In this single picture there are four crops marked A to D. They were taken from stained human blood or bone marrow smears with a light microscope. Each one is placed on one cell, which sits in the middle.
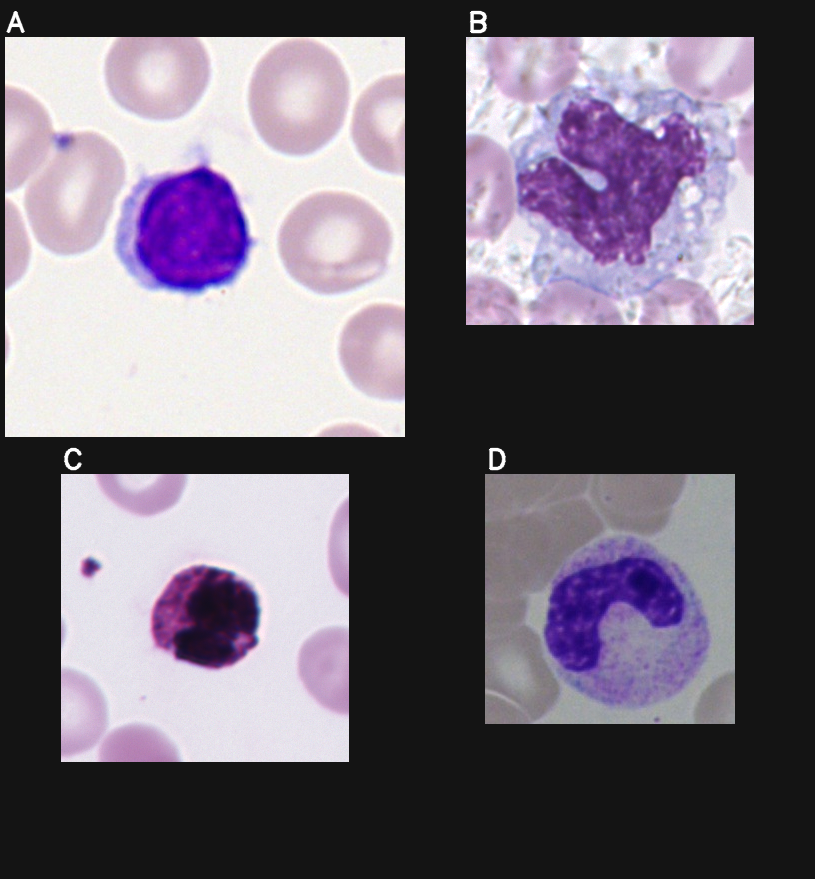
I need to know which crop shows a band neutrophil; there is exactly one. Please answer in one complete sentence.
As for which crop shows a band neutrophil, it is crop D.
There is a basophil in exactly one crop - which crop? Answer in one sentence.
The cell at the center of crop C is the one that is a basophil.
